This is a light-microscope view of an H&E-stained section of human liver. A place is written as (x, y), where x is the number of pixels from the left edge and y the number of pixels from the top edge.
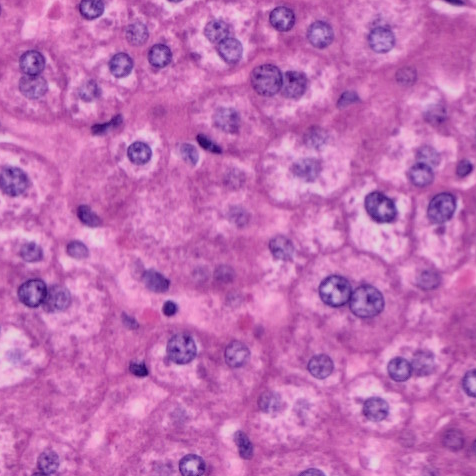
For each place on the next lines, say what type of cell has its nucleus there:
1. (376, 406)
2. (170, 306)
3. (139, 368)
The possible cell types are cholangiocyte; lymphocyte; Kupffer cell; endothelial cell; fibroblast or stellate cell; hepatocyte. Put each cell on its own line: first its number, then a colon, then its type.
1: hepatocyte
2: lymphocyte
3: fibroblast or stellate cell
